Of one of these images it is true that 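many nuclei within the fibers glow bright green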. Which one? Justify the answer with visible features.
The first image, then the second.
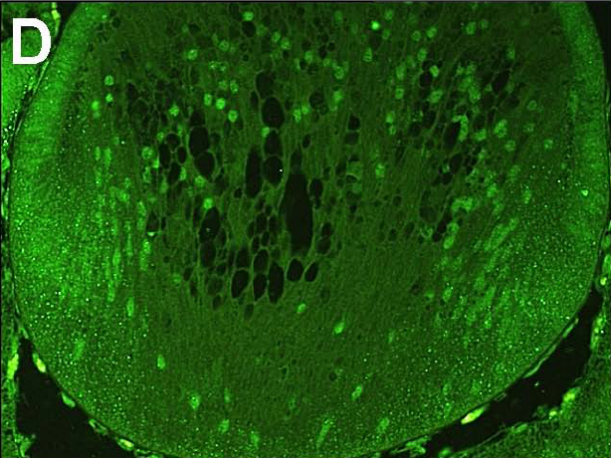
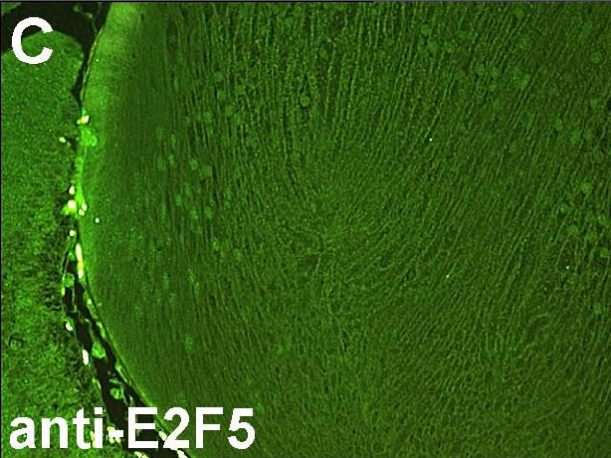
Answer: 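First image: numerous bright green round nuclei stand out across the fibers. Second image: only faint, sparse round nuclei barely brighter than the background.
Hence: the first image.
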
